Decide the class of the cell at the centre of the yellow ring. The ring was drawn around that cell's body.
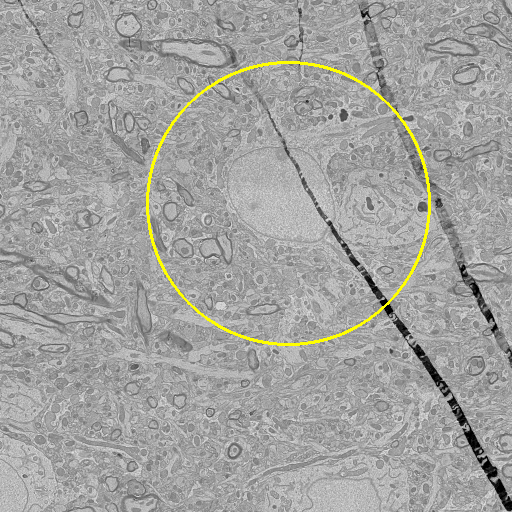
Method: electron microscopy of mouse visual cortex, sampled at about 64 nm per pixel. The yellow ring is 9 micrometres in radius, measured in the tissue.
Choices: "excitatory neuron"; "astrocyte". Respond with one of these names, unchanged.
astrocyte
